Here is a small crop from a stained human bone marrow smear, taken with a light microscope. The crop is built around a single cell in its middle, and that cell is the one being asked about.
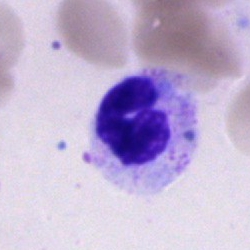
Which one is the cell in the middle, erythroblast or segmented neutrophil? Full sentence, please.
The cell shown in the center of this light-microscope crop is a segmented neutrophil.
